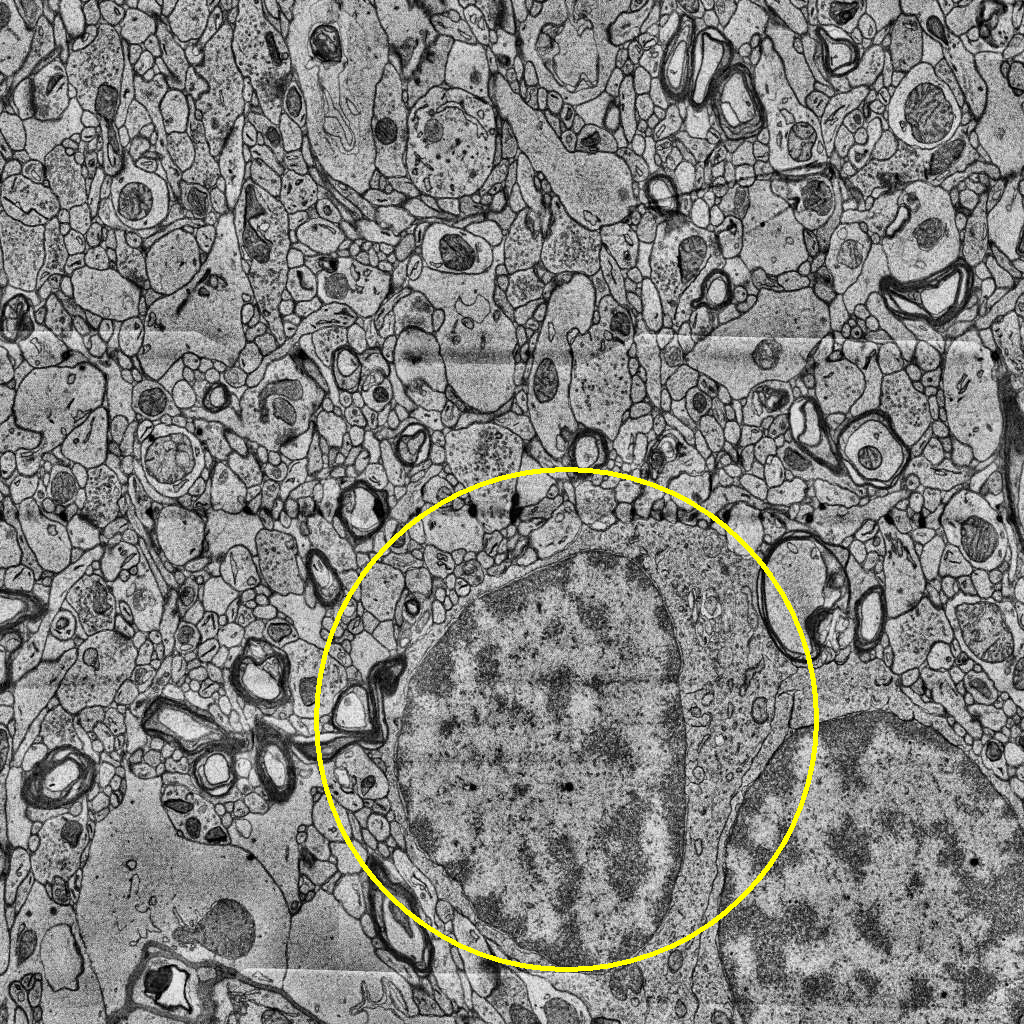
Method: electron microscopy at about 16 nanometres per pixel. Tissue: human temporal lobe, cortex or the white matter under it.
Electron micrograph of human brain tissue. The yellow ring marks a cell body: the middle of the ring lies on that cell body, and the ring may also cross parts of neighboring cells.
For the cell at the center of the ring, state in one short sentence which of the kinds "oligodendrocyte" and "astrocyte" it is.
This ring's center lies on an oligodendrocyte.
